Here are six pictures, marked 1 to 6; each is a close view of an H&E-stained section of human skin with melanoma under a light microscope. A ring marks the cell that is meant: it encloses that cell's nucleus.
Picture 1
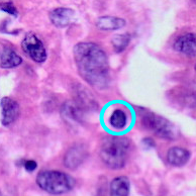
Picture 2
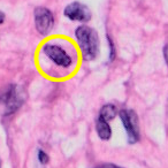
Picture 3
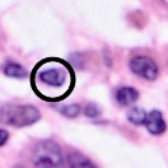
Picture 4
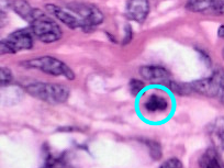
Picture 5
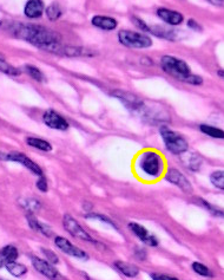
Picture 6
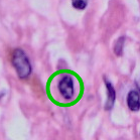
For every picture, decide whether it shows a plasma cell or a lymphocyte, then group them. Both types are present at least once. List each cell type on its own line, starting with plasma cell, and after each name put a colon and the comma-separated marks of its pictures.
plasma cell: 5, 6
lymphocyte: 1, 2, 3, 4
